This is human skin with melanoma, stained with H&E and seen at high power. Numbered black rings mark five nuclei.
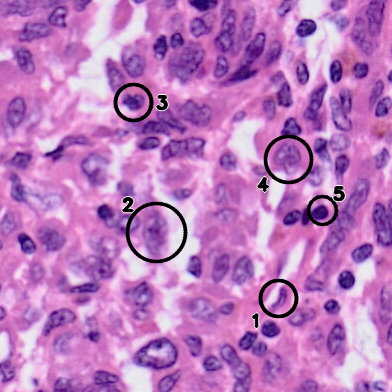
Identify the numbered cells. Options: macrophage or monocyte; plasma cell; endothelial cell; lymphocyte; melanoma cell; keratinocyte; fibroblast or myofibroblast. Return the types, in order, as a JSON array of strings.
["endothelial cell", "melanoma cell", "lymphocyte", "melanoma cell", "lymphocyte"]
